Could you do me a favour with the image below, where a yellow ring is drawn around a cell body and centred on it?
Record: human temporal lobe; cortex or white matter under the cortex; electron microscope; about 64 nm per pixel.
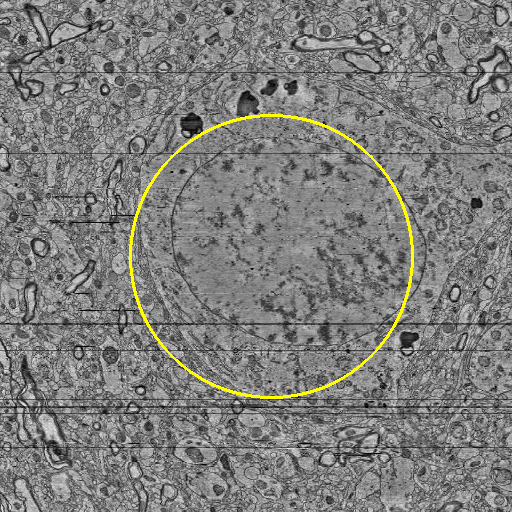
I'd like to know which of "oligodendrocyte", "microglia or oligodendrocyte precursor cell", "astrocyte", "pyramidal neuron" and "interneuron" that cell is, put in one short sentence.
The cell at the ring's centre is a pyramidal neuron.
